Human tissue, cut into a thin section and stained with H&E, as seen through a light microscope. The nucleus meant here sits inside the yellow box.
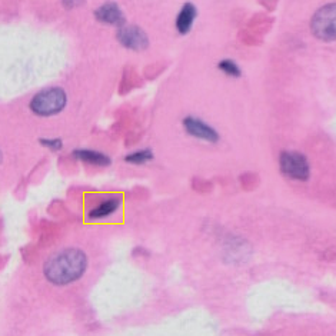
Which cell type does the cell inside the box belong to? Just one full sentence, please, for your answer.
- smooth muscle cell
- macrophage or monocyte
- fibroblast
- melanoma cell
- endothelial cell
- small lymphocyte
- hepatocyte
In terms of identity, the cell inside the box is an endothelial cell.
